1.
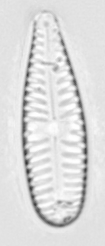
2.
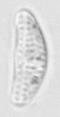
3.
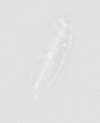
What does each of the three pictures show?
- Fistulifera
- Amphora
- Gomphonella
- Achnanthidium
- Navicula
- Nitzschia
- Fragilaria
1. Gomphonella
2. Amphora
3. Fistulifera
